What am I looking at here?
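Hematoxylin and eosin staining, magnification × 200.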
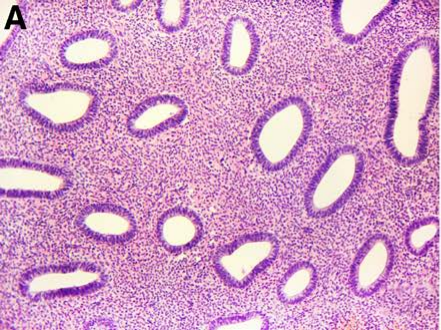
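This is endometrium with many glands set in a dense stroma. The glands are tubular or oval in section, fairly evenly scattered, and each is lined by a single row of tall columnar cells whose dark purple, elongated nuclei are crowded and appear stacked. The lumens are mostly empty and pale. Between the glands the stroma is packed with small spindle-shaped cells with dark nuclei and scant pink cytoplasm.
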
